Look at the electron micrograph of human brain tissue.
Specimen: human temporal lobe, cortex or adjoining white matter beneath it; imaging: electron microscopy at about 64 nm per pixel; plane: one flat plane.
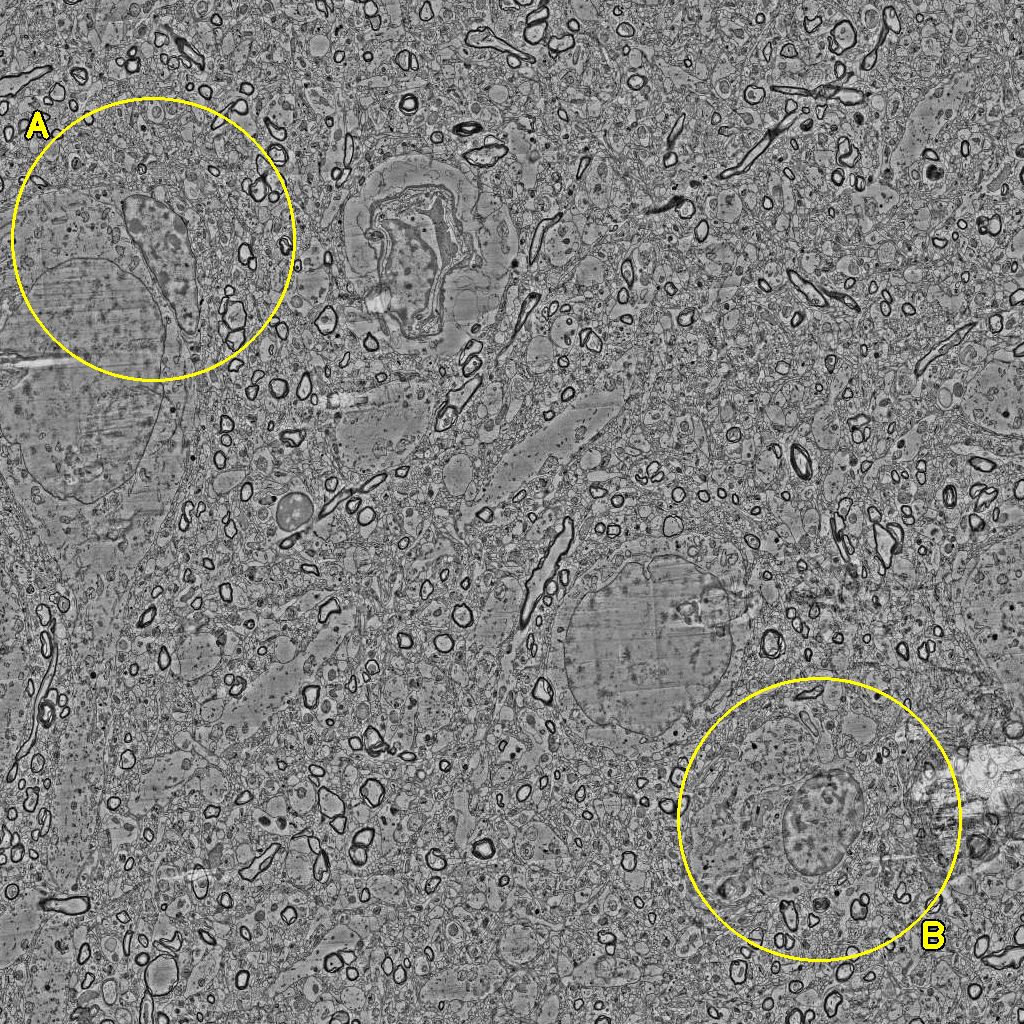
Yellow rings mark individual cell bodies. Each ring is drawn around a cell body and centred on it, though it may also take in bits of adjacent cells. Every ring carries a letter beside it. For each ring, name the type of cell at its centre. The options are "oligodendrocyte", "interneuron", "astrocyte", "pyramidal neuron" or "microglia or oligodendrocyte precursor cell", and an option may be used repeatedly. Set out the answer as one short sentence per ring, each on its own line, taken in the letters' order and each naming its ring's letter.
Ring A is drawn around a microglial cell or oligodendrocyte precursor cell.
Ring B is drawn around an oligodendrocyte.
